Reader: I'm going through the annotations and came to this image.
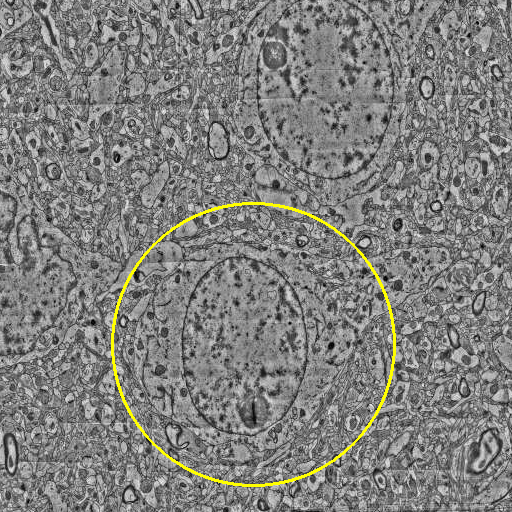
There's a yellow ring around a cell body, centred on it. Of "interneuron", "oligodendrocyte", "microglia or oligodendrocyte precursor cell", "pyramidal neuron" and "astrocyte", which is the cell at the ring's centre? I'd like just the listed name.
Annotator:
pyramidal neuron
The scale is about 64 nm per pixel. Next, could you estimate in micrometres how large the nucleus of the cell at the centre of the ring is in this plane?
About 12 by 8 micrometers, in this plane.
